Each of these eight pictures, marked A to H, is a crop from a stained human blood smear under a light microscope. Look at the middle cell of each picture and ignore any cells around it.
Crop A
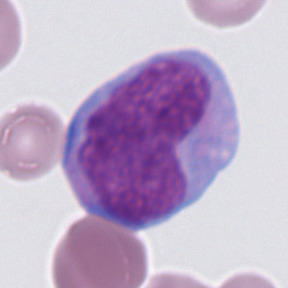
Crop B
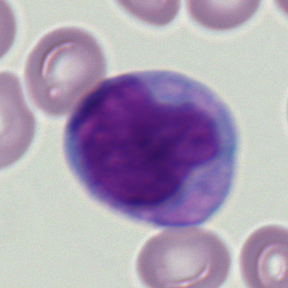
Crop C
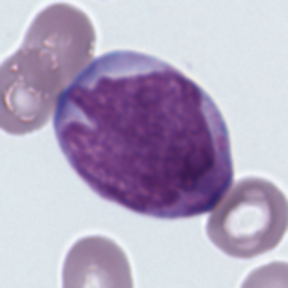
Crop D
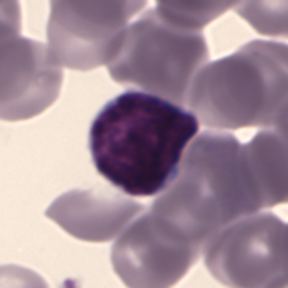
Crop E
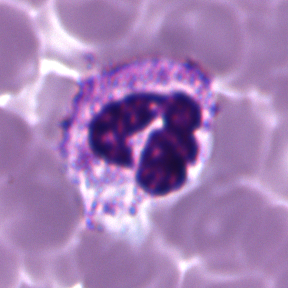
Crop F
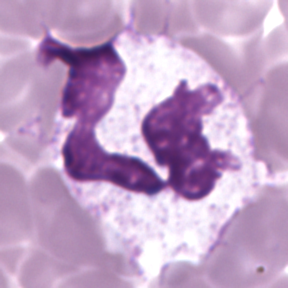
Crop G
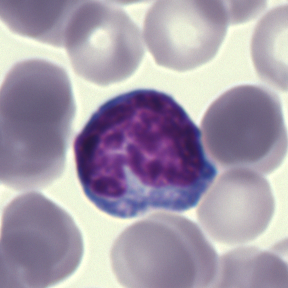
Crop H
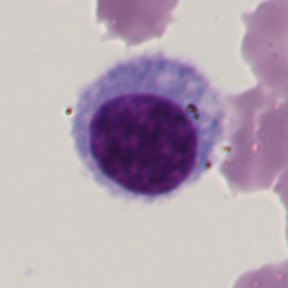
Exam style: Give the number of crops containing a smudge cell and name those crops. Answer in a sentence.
Since smudge cells are absent from each crop, the count is zero.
